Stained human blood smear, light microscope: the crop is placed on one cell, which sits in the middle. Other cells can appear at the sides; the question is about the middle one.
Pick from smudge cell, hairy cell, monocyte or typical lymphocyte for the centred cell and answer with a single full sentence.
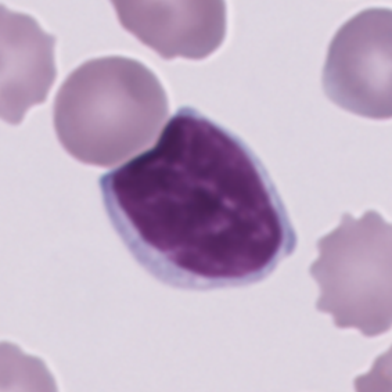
The cell shown in the center of this light-microscope crop is a typical lymphocyte.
